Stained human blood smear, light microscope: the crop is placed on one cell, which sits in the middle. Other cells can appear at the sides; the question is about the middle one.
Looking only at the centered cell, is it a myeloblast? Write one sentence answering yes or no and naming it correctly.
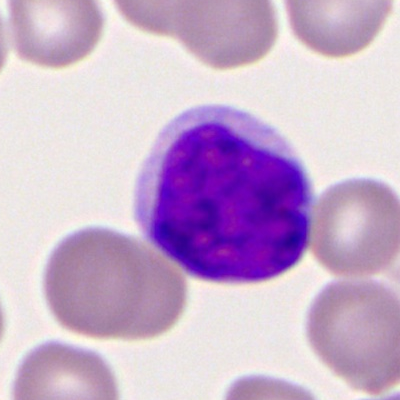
No, it is a lymphocyte rather than a myeloblast that the middle of the crop contains.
